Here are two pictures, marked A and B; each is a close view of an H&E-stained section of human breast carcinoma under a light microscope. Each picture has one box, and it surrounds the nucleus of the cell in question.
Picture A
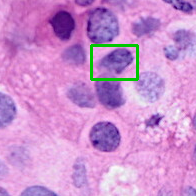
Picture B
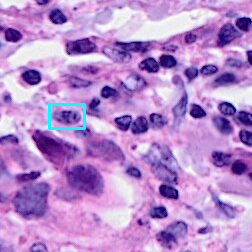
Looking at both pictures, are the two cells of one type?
no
